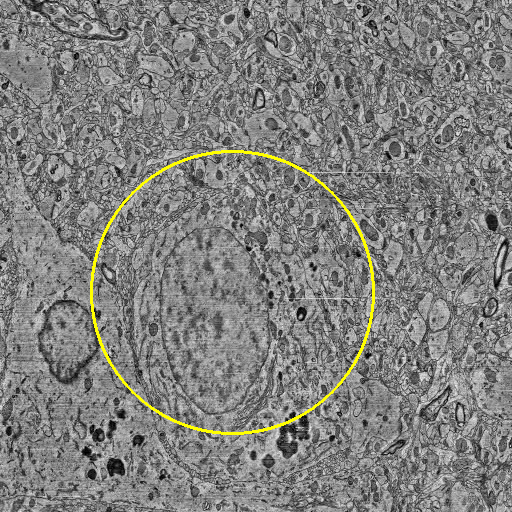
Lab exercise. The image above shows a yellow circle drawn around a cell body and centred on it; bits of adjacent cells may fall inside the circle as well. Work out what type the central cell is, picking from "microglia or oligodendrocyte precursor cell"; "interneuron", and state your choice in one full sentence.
In the image above, the cell at the centre of the yellow circle is an interneuron.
